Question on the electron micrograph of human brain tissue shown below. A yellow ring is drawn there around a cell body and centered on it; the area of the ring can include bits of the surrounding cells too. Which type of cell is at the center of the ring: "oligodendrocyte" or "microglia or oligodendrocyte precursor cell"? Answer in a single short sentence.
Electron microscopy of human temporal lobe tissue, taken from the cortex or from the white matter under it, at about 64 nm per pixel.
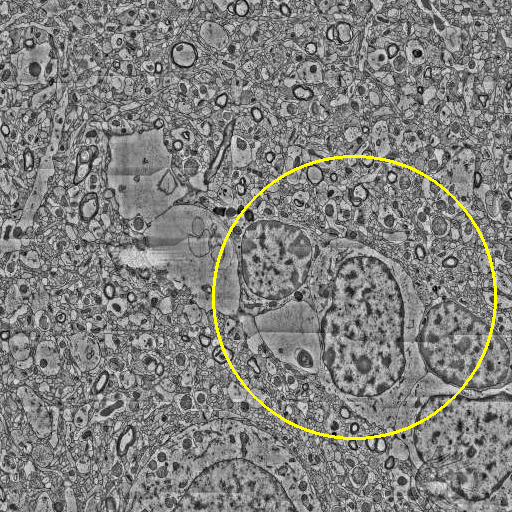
The ring is centered on a microglial cell or oligodendrocyte precursor cell.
